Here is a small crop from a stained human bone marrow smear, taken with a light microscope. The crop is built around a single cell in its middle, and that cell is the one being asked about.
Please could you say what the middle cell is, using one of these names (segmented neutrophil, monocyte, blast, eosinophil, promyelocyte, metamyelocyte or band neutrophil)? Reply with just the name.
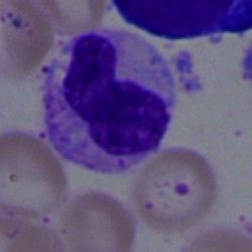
metamyelocyte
